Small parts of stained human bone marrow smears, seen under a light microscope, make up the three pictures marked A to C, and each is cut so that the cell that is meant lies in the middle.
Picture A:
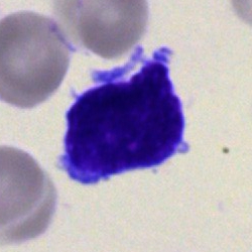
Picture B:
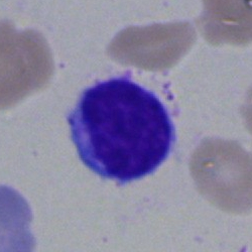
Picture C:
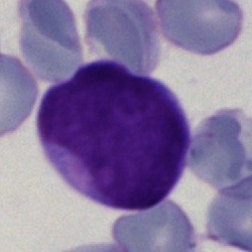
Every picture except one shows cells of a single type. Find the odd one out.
B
